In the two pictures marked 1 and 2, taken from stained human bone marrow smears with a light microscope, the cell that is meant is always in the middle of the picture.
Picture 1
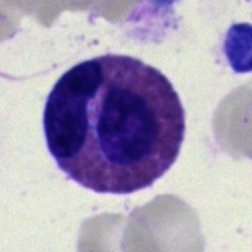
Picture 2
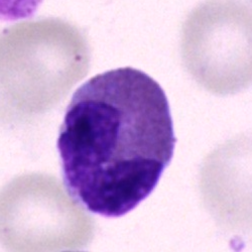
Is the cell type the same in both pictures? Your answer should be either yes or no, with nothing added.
yes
